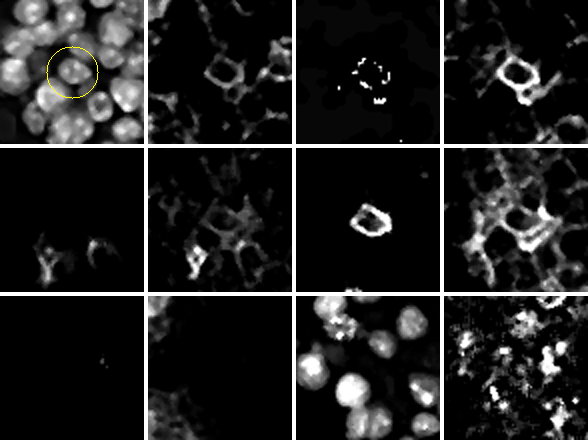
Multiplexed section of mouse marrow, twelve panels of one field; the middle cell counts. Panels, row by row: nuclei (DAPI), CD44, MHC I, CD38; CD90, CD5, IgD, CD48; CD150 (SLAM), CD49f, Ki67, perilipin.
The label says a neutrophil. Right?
Wrong: this is a B cell.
